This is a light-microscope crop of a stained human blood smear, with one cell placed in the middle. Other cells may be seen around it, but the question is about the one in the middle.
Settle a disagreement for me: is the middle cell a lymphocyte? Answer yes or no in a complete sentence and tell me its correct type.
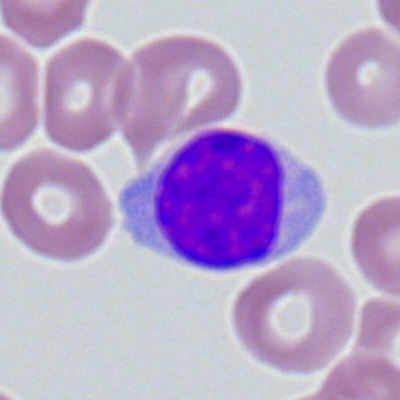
Yes, what sits in the centre of the crop is a lymphocyte.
